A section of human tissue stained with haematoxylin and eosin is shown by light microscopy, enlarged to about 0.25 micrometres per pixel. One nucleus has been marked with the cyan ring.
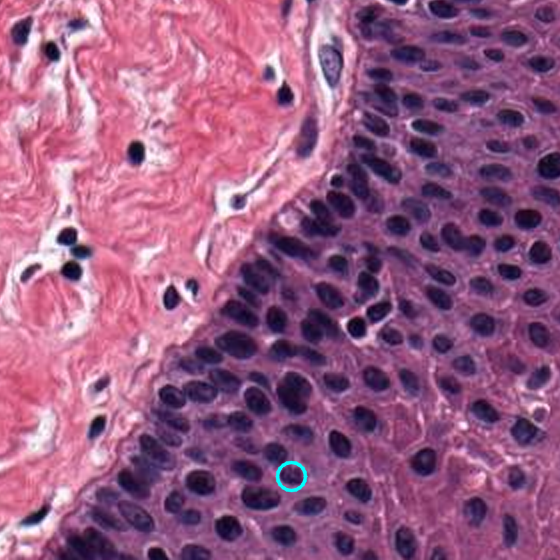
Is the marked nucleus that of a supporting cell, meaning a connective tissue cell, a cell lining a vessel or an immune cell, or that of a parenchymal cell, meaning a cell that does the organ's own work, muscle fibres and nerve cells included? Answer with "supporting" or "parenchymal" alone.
parenchymal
